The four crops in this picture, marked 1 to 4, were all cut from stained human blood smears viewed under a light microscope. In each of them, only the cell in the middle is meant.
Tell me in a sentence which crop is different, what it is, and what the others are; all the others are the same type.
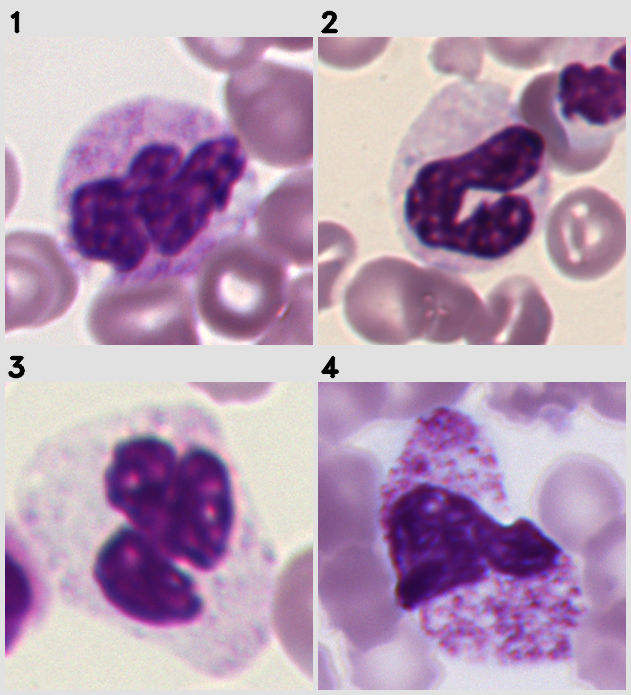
In this set, all crops show segmented neutrophils apart from crop 2, which is a band neutrophil.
